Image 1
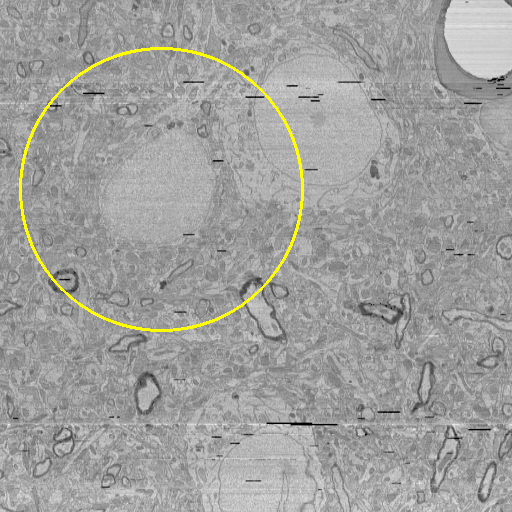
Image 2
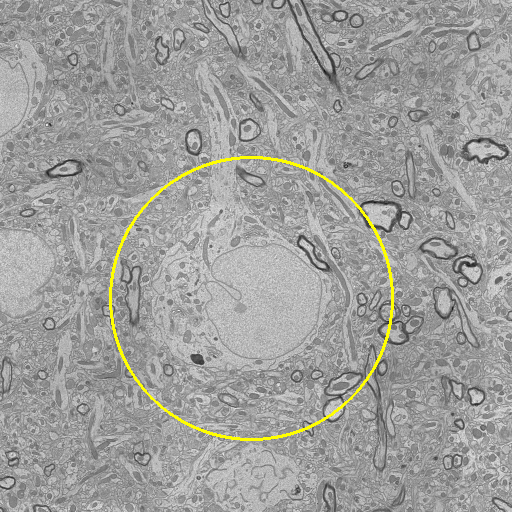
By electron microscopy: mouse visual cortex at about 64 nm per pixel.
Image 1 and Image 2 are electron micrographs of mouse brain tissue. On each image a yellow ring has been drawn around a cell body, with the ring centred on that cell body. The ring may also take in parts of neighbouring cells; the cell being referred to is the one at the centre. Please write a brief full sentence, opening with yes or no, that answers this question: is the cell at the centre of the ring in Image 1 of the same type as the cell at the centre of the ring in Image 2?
No, the two cells are of two types.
